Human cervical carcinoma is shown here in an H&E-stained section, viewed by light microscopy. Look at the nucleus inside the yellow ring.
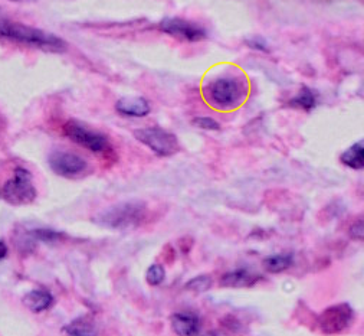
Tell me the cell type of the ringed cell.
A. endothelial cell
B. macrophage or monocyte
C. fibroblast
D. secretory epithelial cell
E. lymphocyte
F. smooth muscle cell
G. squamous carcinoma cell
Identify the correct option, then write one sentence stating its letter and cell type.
On this slide, the ringed cell is a macrophage or monocyte, so option B is right.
